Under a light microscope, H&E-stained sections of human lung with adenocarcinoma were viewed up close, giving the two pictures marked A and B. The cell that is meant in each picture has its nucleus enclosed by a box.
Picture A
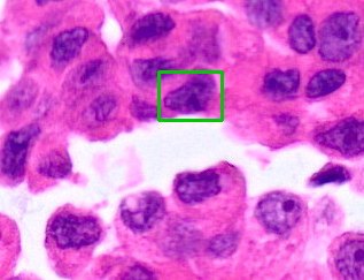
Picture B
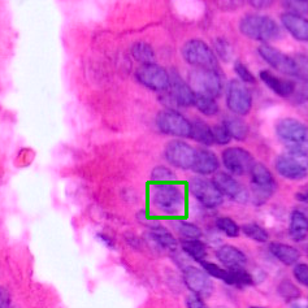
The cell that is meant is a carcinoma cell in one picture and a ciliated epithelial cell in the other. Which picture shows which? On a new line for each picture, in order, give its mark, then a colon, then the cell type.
A: carcinoma cell
B: ciliated epithelial cell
